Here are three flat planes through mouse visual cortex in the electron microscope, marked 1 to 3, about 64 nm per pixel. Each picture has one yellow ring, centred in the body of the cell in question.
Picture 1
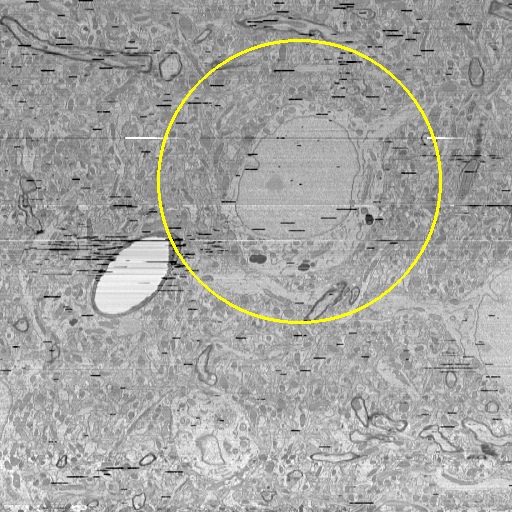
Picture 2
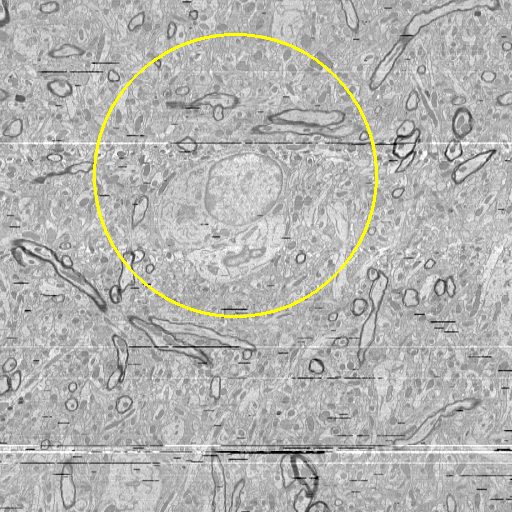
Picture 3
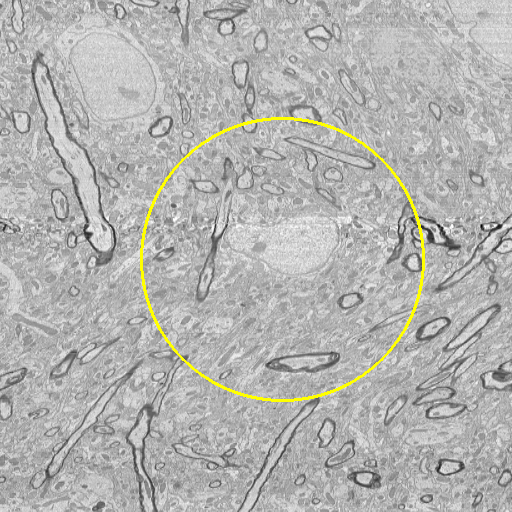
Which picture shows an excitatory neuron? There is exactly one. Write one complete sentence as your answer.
Picture 1 is the one that shows the excitatory neuron.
